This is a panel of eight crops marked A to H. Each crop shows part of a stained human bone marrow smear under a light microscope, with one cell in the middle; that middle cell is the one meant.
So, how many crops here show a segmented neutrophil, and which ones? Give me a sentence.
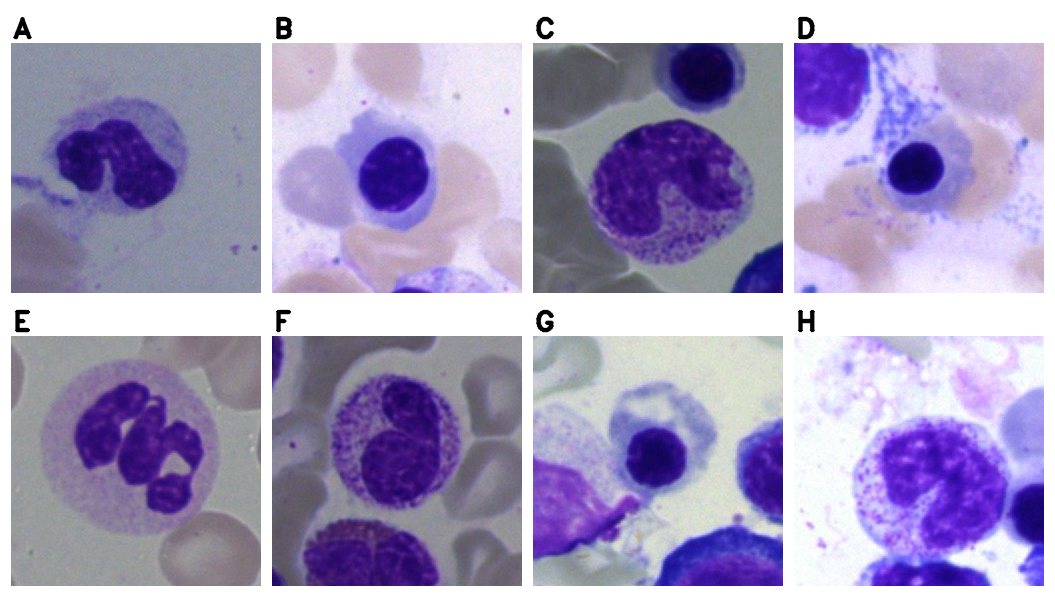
Crops A and E, which number two, show segmented neutrophils.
